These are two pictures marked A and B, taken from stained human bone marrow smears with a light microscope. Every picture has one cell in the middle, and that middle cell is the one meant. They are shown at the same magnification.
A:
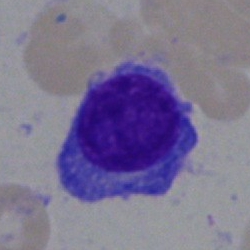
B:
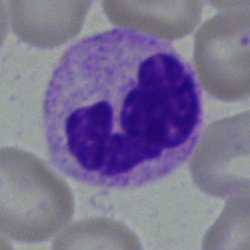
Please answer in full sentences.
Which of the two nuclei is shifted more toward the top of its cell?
It is the nucleus in picture A that lies further toward the top of its cell.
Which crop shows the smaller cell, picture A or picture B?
The cell in picture A is smaller; the one in picture B has about 1.5 times its area.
